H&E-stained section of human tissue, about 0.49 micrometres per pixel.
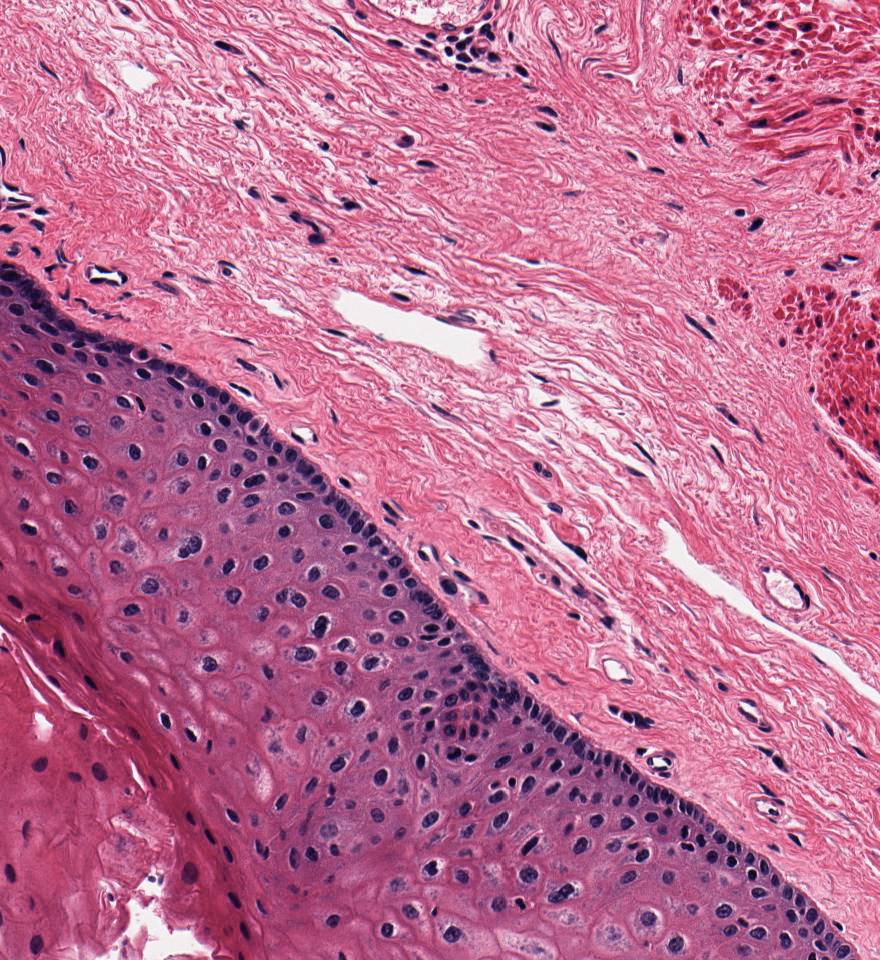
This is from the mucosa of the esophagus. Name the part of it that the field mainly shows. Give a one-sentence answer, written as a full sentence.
The structure this section shows is loose connective tissue.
